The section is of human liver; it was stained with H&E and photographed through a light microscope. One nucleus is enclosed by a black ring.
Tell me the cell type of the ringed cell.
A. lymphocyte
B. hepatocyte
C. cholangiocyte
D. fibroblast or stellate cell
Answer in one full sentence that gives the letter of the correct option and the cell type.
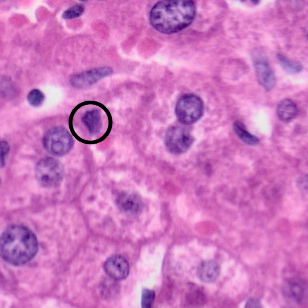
On this slide, the ringed cell is a fibroblast or stellate cell, so option D is right.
